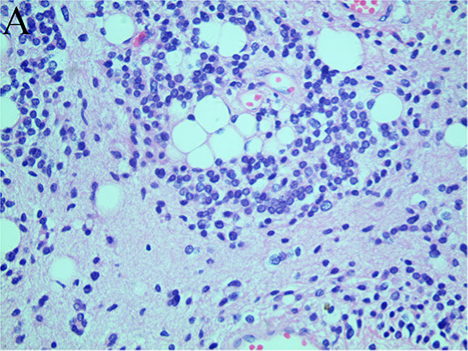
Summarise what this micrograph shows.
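This tumor is built of fairly uniform round cells with small round or oval dark blue nuclei whose chromatin looks finely speckled. Between them lie large, clear, round vacuoles of varying size, some grouped like fat cells, set in a pale pink fibrillary background with a few small vessels holding red blood cells.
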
